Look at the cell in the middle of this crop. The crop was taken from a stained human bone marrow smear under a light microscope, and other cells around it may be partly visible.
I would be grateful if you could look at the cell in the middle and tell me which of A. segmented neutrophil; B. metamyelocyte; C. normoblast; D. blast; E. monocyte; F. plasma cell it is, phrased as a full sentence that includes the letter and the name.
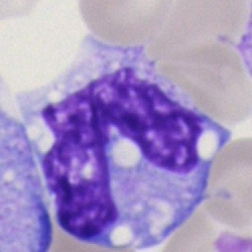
Here the right option is E, as the cell in the middle is a monocyte.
